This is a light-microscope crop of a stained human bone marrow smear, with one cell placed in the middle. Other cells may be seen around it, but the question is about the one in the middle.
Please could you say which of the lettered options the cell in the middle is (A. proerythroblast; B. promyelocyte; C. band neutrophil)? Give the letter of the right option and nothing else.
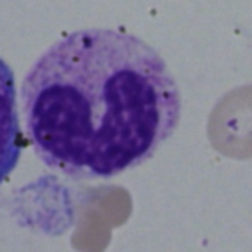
C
